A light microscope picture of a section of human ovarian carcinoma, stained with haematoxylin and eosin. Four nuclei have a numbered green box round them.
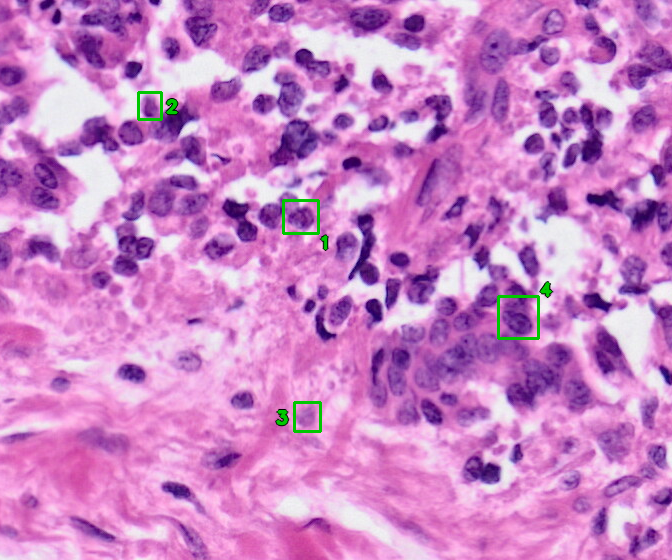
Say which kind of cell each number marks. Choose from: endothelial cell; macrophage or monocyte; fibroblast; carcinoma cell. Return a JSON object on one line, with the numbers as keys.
{"1": "carcinoma cell", "2": "carcinoma cell", "3": "fibroblast", "4": "carcinoma cell"}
